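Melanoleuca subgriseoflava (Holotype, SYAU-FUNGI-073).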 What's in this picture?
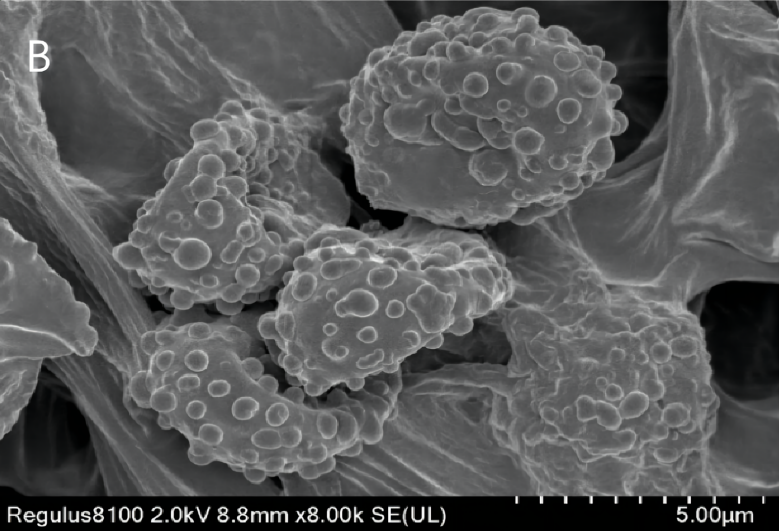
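Basidiospores seen by their surface, a cluster of about five ellipsoid to rounded spores resting on smooth, folded sheets of hyphal tissue. Each spore is densely ornamented with rounded, low, wart-like bumps of unequal size, some merging into larger knobs.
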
